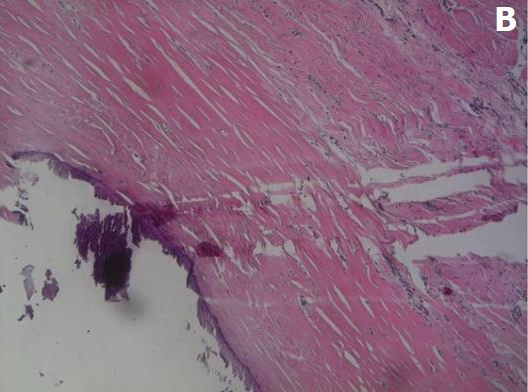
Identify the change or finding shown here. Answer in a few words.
Focus of calcification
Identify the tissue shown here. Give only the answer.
Fibrotic tissue.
